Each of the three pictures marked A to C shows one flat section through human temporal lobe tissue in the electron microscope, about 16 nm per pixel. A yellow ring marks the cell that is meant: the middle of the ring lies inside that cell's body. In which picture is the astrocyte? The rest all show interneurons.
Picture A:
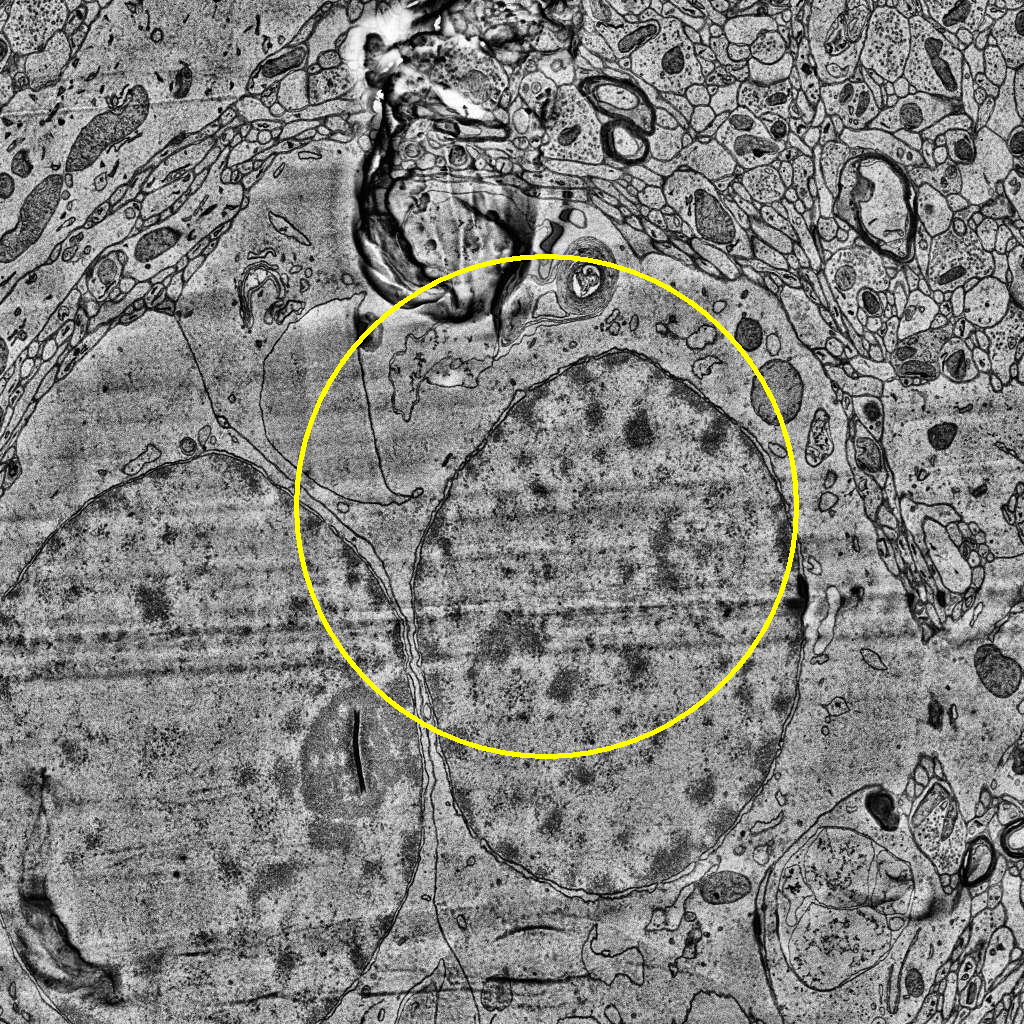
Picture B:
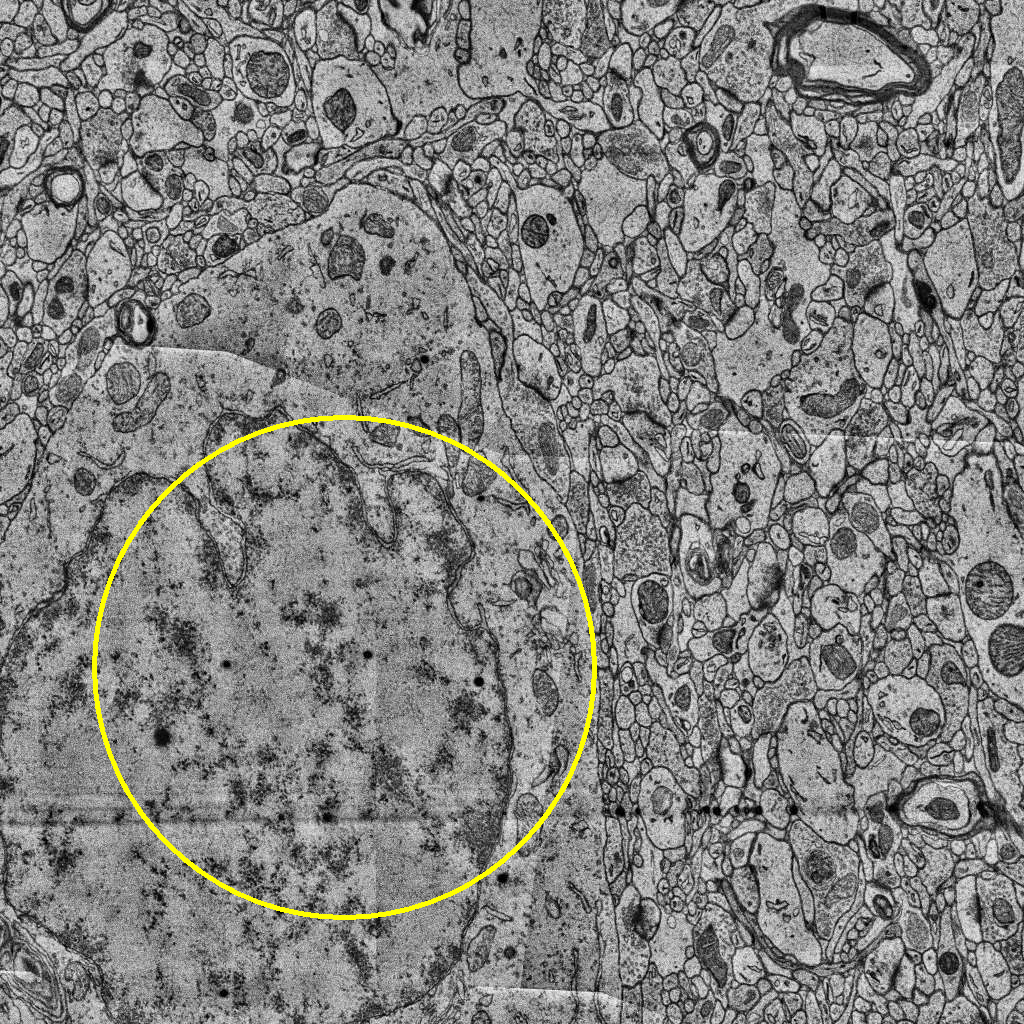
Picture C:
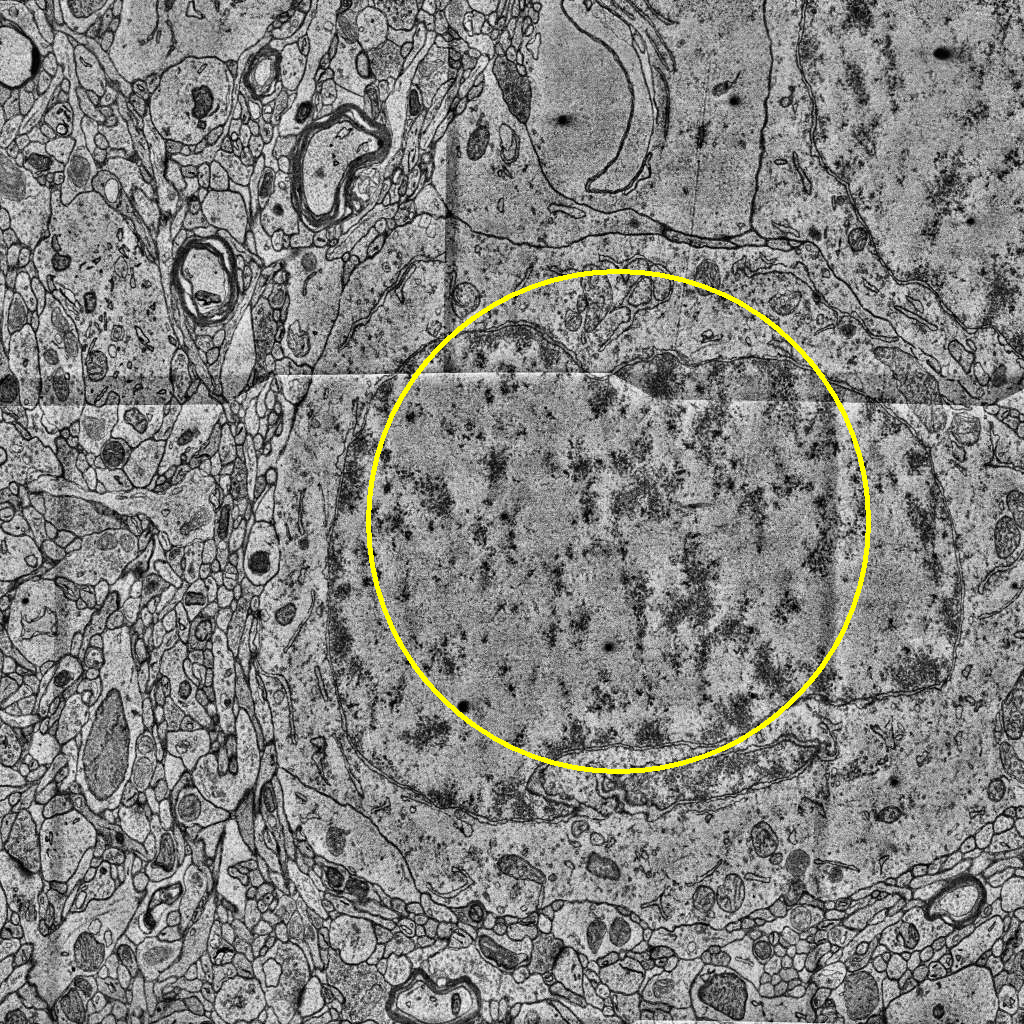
It is picture A that shows the astrocyte.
